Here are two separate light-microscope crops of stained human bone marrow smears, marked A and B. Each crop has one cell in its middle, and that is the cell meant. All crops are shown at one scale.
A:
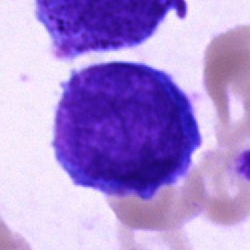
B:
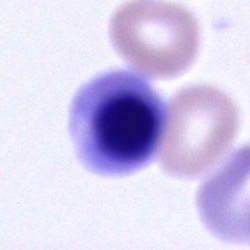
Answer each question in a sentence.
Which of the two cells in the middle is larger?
Crop A holds the larger cell; it covers about 2 times the area of the cell in crop B.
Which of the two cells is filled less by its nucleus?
In crop B the nucleus takes up the smaller part of its cell.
